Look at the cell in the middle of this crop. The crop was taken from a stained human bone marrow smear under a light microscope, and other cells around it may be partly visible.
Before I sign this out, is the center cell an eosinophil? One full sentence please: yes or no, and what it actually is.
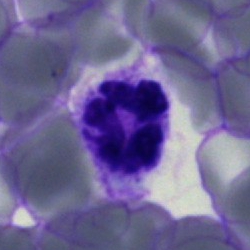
No, the central cell is designated a segmented neutrophil and not an eosinophil.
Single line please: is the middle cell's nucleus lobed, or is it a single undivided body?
It is worth mentioning that the nucleus carries two or more lobes.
